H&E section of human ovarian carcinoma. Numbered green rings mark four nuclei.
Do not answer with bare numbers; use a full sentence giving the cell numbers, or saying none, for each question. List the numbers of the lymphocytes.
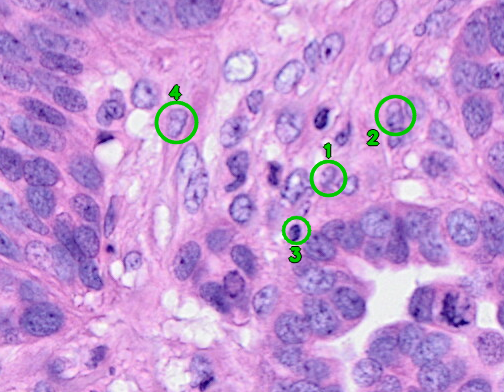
Only the cell at mark 3 is a lymphocyte, and no other marked cell is.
